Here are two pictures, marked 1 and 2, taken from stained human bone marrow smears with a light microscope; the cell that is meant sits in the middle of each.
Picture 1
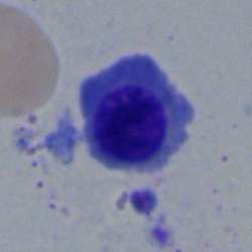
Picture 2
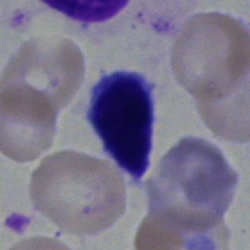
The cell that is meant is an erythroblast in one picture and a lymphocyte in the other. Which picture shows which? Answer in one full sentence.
Picture 1 shows an erythroblast and picture 2 shows a lymphocyte.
